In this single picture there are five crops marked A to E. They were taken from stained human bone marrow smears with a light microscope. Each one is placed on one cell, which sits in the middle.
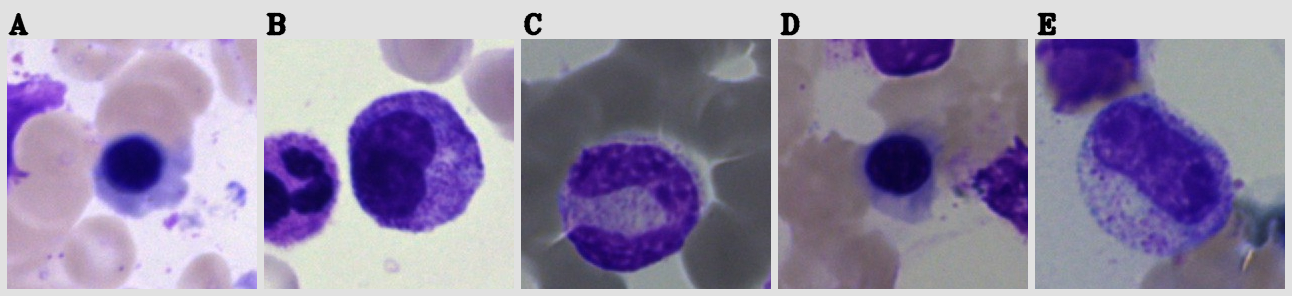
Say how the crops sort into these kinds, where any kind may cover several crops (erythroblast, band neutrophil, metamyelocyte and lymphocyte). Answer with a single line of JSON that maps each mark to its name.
{"A": "erythroblast", "B": "metamyelocyte", "C": "band neutrophil", "D": "erythroblast", "E": "metamyelocyte"}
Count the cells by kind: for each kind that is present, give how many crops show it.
erythroblast: 2
metamyelocyte: 2
band neutrophil: 1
